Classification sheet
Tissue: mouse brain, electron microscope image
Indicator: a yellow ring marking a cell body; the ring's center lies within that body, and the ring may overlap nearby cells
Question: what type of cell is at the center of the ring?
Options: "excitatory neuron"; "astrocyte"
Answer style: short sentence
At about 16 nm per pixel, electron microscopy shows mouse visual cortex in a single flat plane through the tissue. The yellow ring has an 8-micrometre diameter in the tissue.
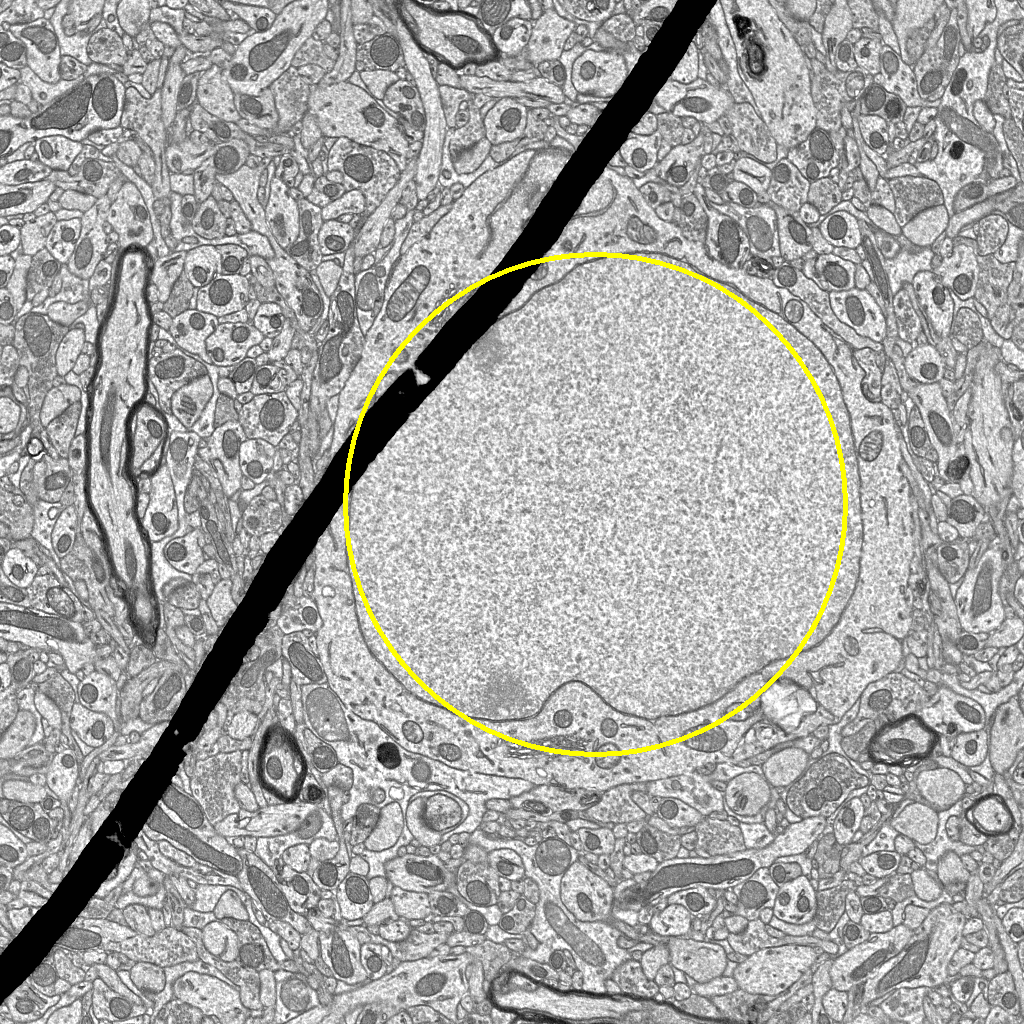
At the ring's center is an excitatory neuron.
